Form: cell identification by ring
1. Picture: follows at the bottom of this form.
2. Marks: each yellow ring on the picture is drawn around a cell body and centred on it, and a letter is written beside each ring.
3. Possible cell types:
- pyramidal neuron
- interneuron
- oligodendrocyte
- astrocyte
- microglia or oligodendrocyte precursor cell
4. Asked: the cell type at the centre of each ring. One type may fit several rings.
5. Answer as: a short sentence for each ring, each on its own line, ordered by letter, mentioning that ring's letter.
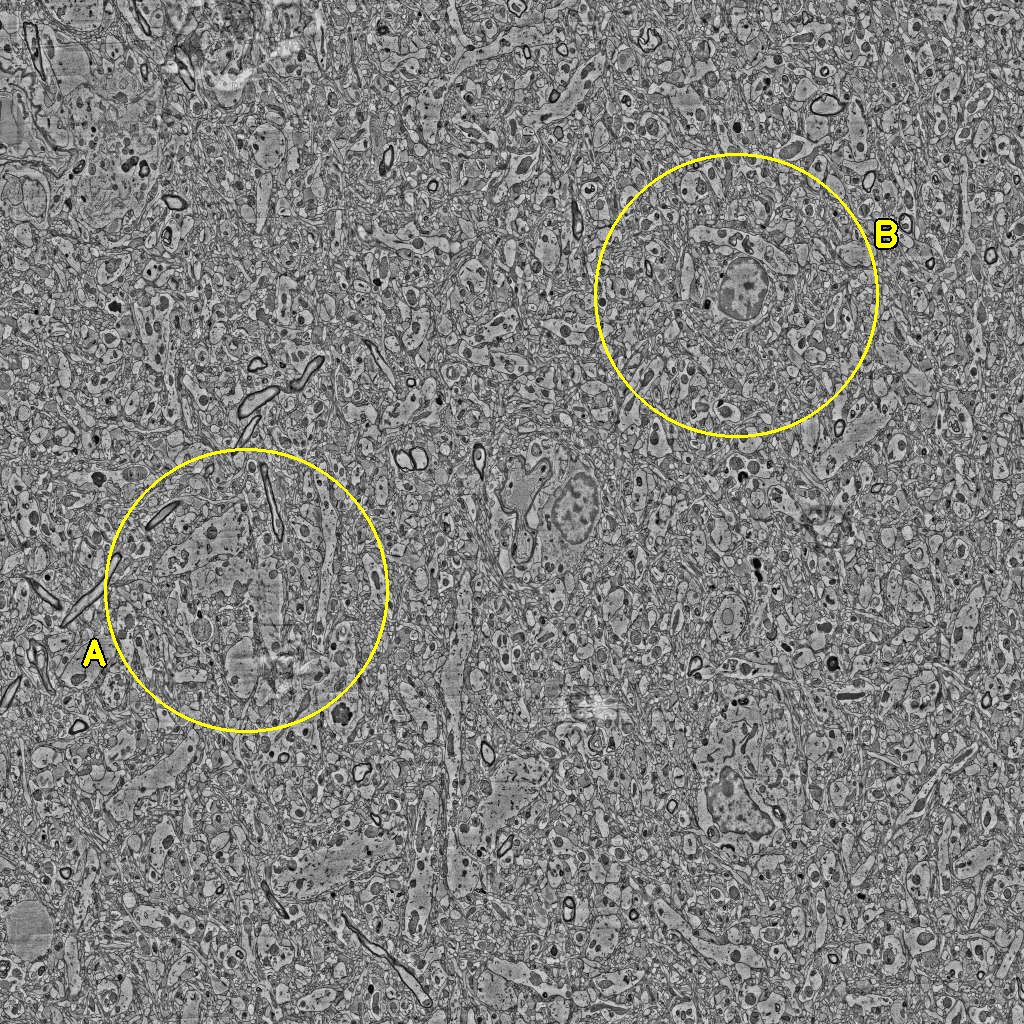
The cell at ring A's centre is an astrocyte.
The cell at ring B's centre is a microglial cell or oligodendrocyte precursor cell.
